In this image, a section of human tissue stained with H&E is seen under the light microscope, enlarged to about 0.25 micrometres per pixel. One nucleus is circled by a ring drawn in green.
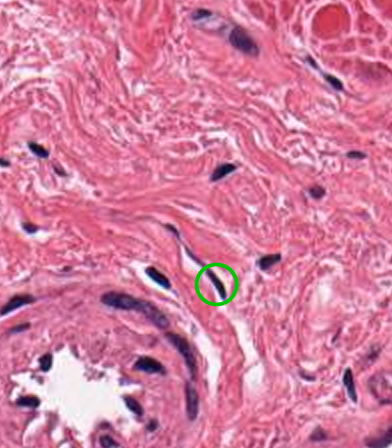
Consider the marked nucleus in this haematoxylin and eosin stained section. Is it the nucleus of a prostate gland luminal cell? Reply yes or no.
no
